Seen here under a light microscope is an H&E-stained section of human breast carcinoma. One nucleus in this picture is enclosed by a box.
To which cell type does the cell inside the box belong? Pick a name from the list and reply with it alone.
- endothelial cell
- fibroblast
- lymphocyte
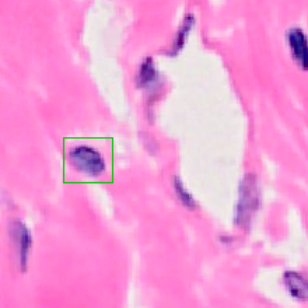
lymphocyte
